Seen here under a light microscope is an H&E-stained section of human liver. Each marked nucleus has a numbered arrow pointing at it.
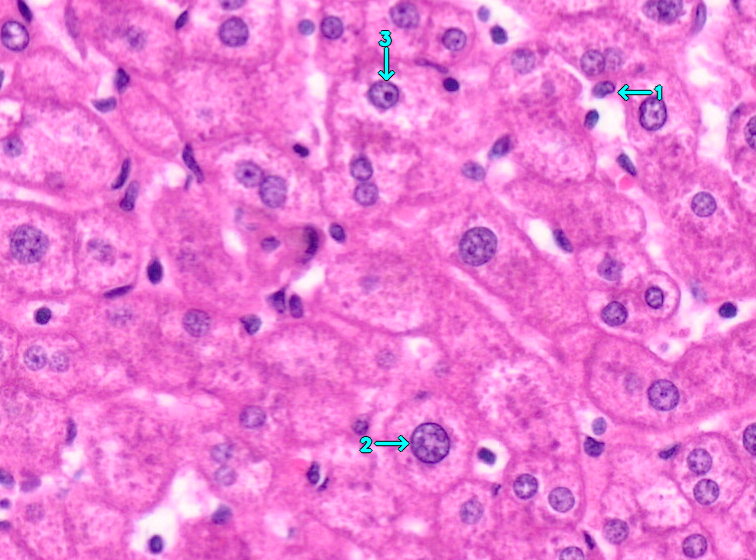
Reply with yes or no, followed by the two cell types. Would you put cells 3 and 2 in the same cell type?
Yes, the cells numbered 3 and 2 are both hepatocytes.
